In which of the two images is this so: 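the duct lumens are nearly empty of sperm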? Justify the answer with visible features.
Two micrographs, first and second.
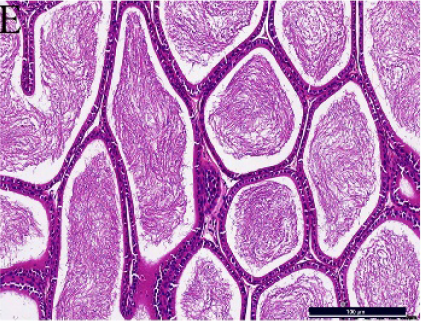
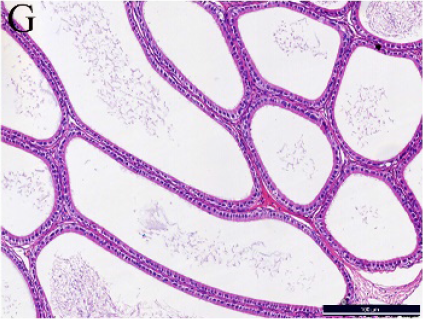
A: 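The second image. Second image: duct lumens are mostly clear with only sparse wisps of sperm. First image: duct lumens are filled with dense masses of sperm.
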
